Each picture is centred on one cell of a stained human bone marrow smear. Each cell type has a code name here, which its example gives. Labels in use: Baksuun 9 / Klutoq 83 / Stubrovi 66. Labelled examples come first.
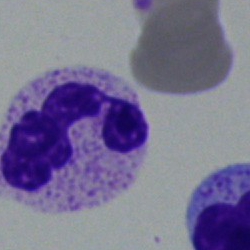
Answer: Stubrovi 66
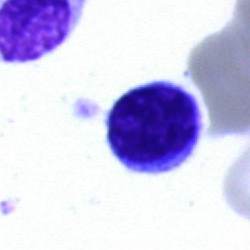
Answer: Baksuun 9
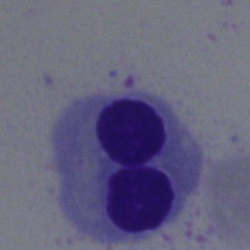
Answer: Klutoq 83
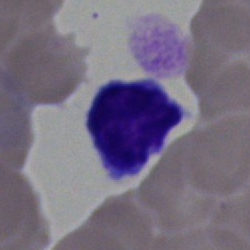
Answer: Baksuun 9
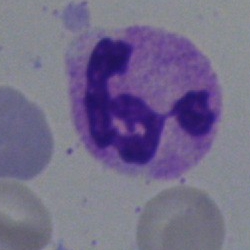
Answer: Stubrovi 66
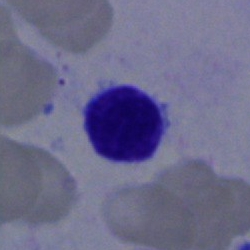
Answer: Baksuun 9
